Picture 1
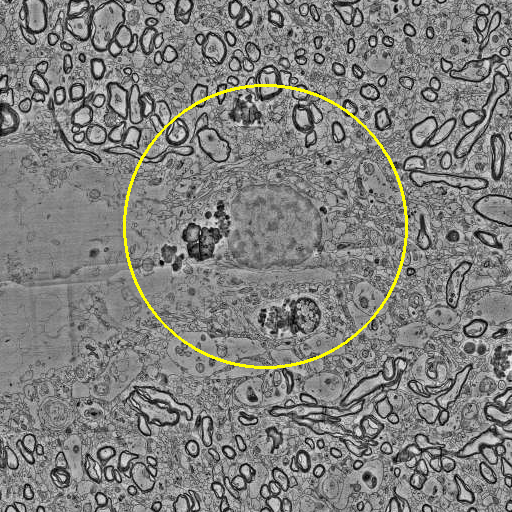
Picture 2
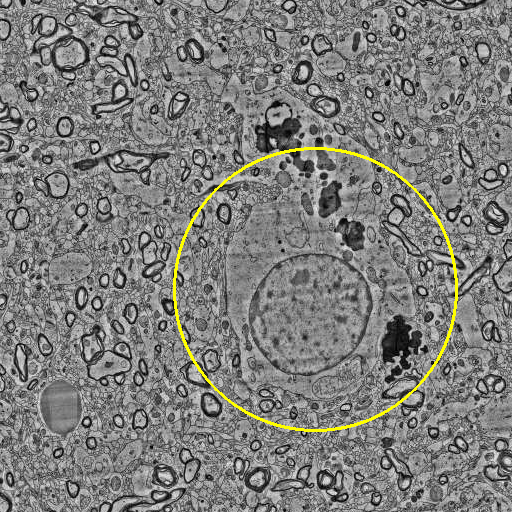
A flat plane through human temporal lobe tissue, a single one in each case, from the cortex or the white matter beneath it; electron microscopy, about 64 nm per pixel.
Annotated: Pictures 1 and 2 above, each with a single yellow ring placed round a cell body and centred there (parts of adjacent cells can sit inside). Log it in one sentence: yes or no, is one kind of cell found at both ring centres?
No, the ring centres of the two pictures hold cells of two kinds.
